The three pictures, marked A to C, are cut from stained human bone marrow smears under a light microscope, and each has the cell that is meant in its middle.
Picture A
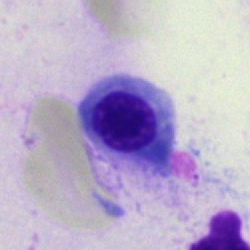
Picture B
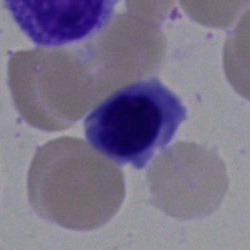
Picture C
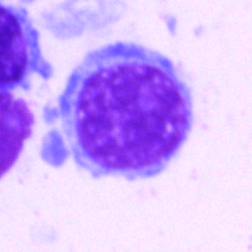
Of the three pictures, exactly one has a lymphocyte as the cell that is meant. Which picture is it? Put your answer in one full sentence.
It is picture C that shows the lymphocyte.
